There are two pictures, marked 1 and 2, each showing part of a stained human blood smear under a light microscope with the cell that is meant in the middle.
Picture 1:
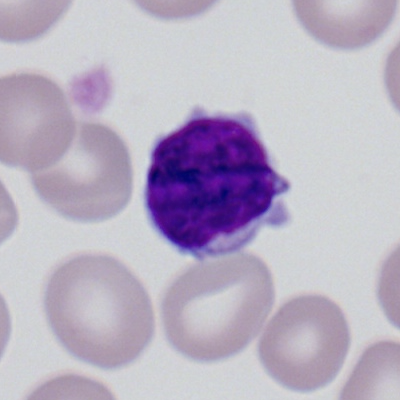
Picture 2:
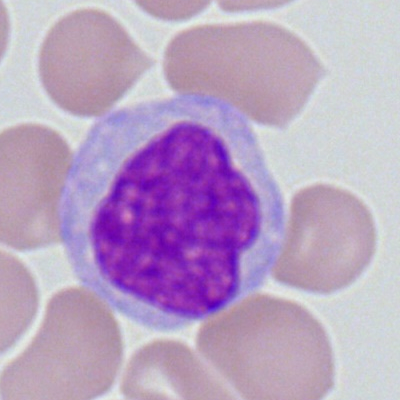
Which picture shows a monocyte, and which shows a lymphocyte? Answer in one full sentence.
Picture 1 shows a lymphocyte and picture 2 shows a monocyte.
